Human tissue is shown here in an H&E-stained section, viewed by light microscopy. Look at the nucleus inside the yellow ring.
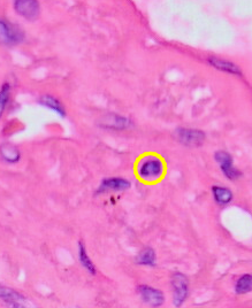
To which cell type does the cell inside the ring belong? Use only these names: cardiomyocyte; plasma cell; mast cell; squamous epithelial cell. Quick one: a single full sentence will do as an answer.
In the tissue at hand, the cell inside the ring is a mast cell.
